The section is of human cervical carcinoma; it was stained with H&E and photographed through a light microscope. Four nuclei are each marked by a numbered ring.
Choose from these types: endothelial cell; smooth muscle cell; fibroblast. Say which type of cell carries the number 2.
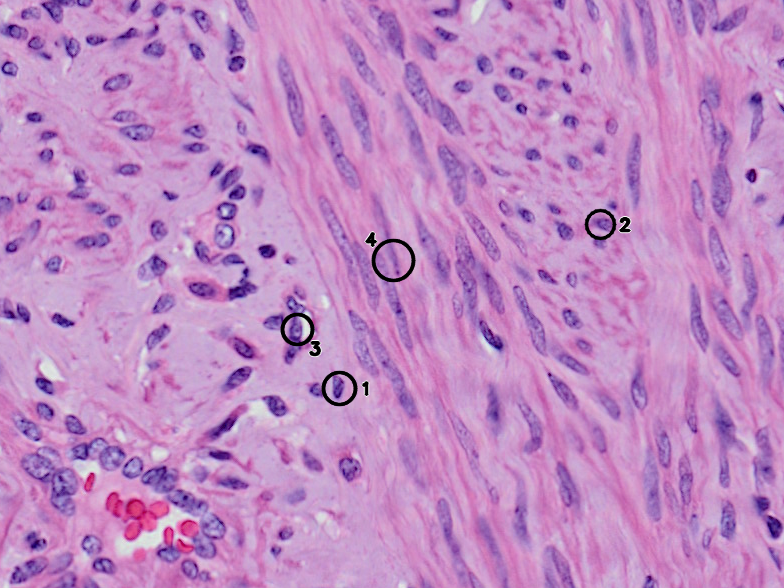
smooth muscle cell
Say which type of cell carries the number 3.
endothelial cell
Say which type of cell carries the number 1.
fibroblast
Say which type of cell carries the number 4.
smooth muscle cell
